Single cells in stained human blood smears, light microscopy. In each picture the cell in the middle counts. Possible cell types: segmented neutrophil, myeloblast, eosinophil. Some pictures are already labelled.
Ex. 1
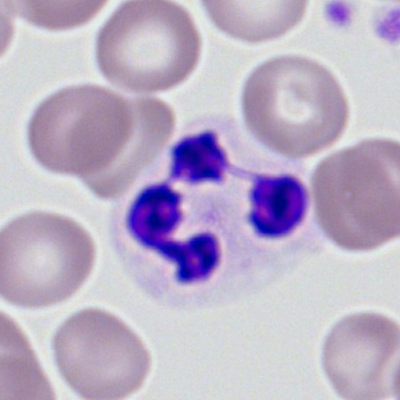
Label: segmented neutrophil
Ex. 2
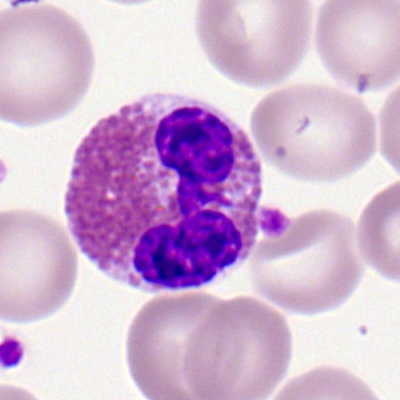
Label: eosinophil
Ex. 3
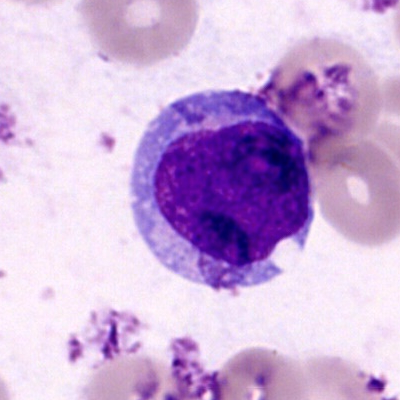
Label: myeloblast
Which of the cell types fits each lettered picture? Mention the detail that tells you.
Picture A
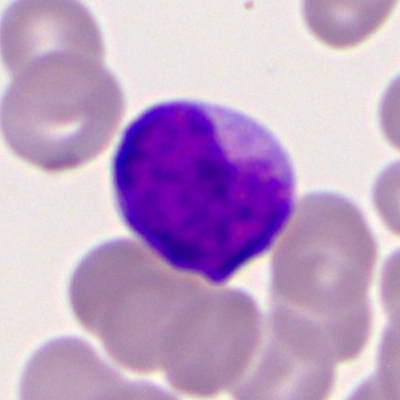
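myeloblast: The nucleus fills most of the cell.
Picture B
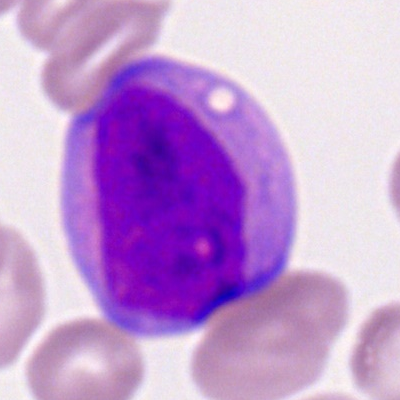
myeloblast: The nucleus fills most of the cell and sits toward the left side.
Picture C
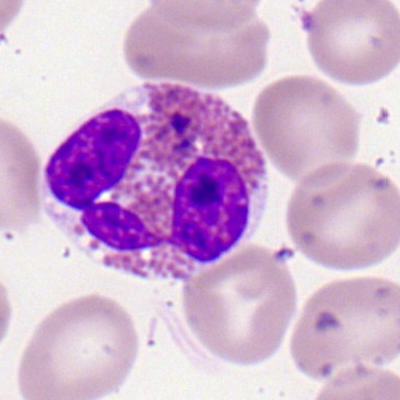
eosinophil: The granules are coarse and fill the cytoplasm between the nuclear lobes.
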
